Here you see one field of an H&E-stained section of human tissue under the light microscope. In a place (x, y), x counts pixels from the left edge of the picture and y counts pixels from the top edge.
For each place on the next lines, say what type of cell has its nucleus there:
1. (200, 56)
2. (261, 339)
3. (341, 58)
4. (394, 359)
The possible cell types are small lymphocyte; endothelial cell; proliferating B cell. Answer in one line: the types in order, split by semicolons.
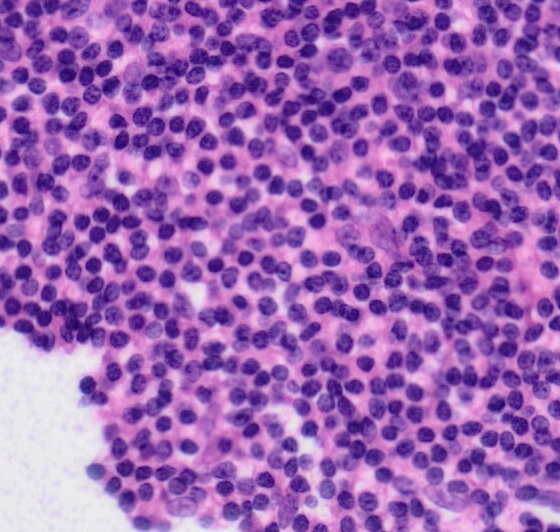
small lymphocyte; small lymphocyte; proliferating B cell; small lymphocyte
